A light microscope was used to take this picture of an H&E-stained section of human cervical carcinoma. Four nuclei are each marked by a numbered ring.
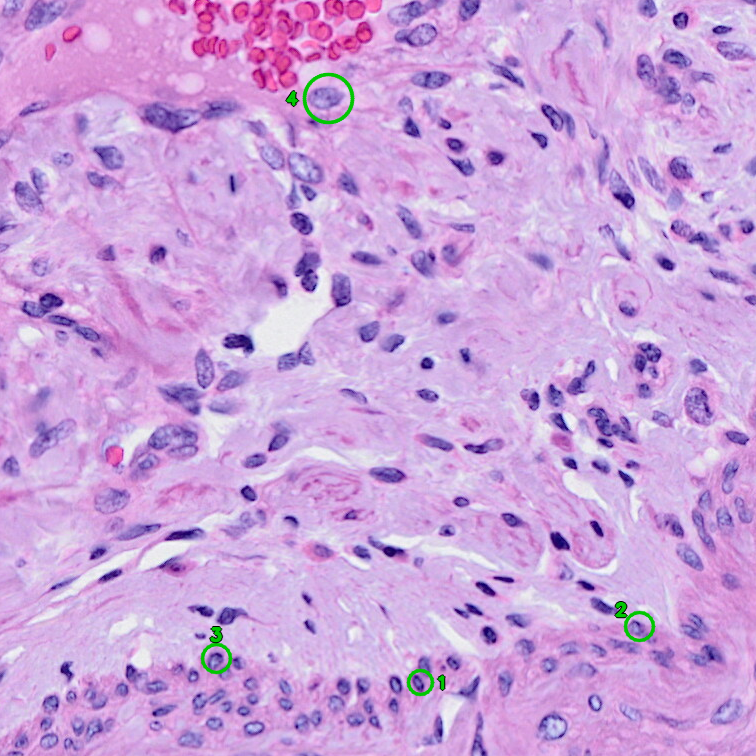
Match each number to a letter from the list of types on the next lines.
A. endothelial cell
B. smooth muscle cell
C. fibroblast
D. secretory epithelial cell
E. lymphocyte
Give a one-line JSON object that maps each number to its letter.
{"1": "B", "2": "B", "3": "B", "4": "A"}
